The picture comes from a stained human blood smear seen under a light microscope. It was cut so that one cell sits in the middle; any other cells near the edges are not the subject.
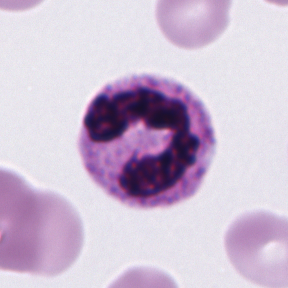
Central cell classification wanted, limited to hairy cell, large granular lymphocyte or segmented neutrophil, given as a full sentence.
The cell shown in the center of this light-microscope crop is a segmented neutrophil.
